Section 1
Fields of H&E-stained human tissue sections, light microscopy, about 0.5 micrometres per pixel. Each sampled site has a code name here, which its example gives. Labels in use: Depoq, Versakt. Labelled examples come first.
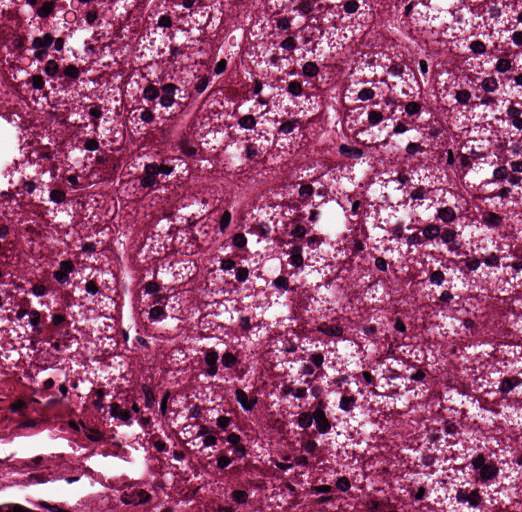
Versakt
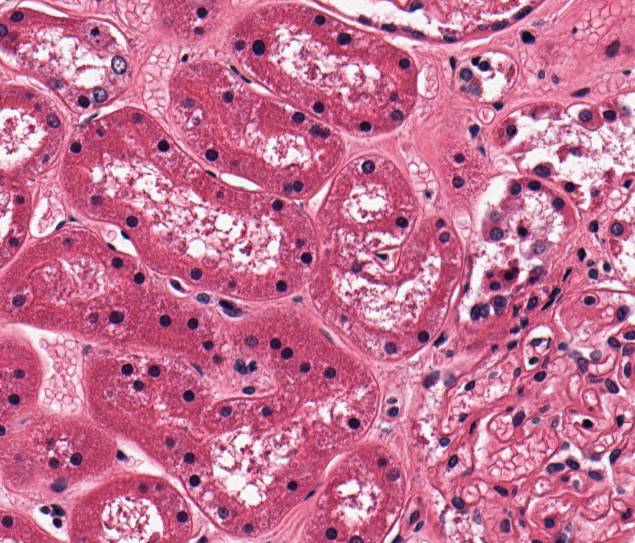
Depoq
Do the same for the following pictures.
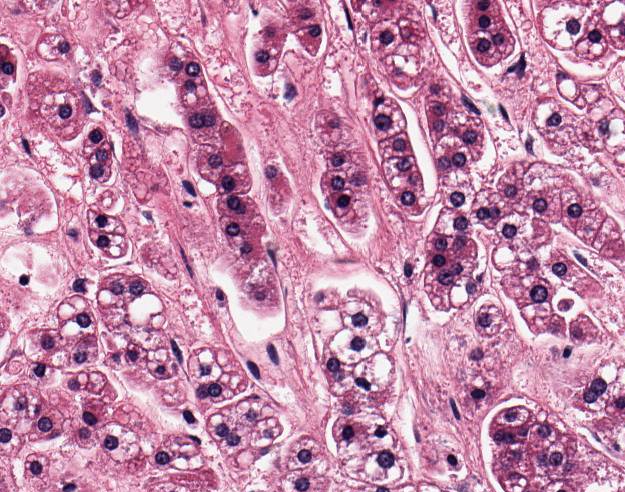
Versakt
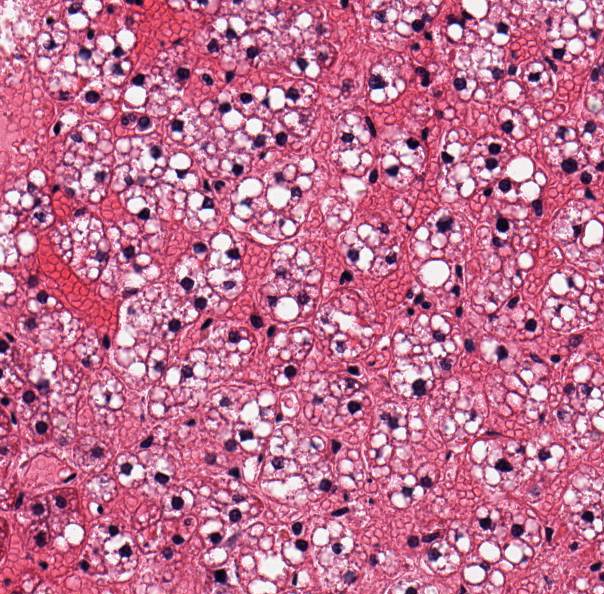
Versakt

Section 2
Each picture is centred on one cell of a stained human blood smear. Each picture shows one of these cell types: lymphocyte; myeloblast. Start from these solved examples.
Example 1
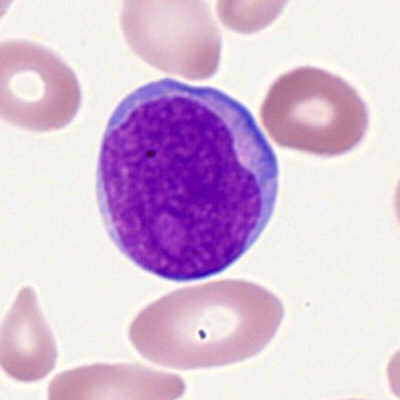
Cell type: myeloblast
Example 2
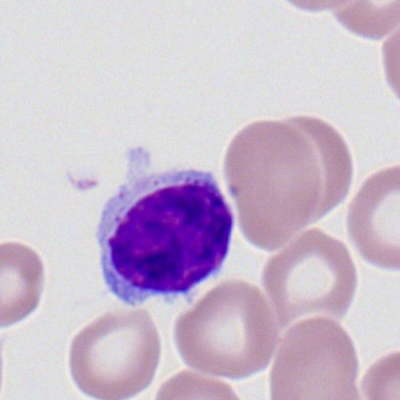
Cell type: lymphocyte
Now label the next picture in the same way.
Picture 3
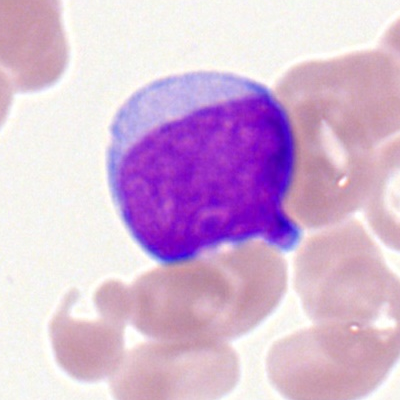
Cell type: myeloblast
